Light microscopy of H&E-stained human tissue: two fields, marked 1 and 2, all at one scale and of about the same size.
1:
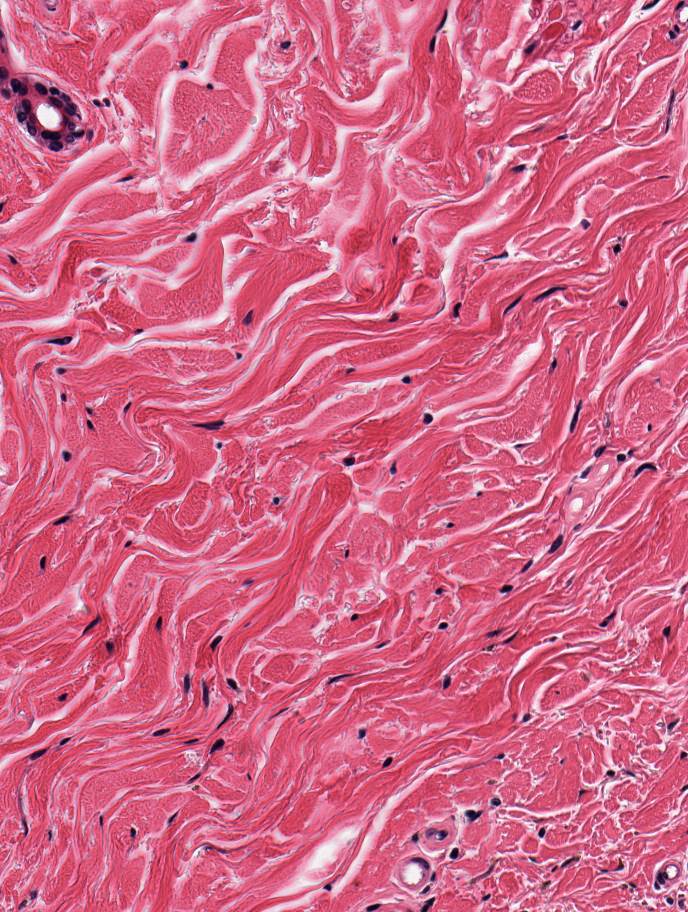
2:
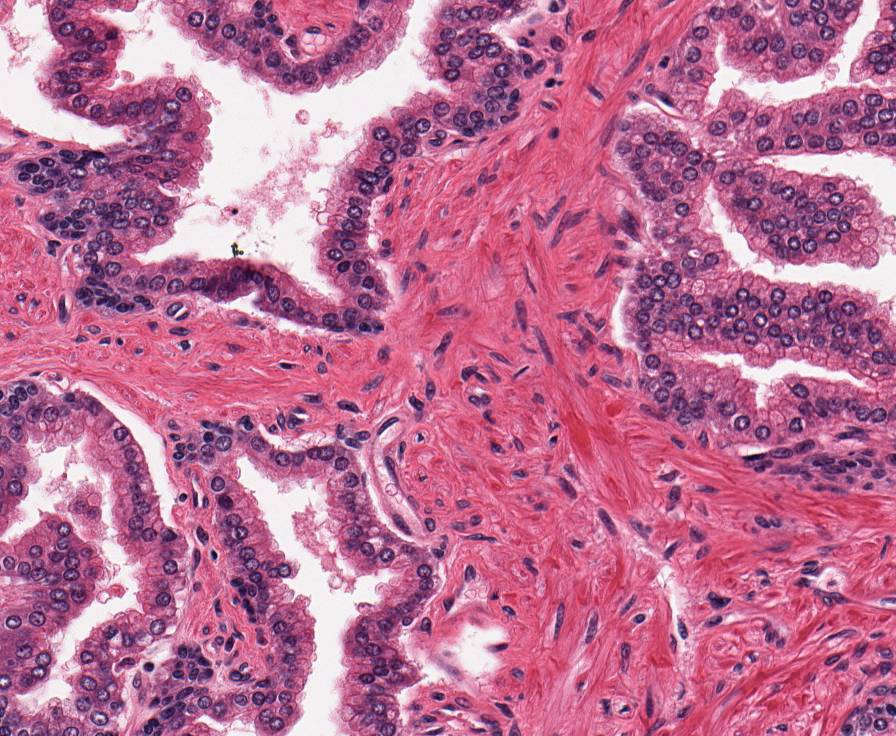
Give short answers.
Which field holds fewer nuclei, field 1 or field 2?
1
